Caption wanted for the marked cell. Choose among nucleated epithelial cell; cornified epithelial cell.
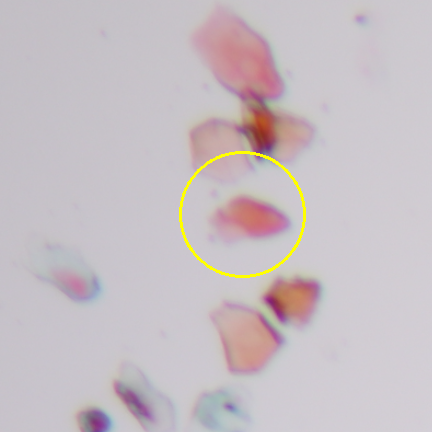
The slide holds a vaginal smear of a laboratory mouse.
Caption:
Ringed in yellow is a cornified epithelial cell.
